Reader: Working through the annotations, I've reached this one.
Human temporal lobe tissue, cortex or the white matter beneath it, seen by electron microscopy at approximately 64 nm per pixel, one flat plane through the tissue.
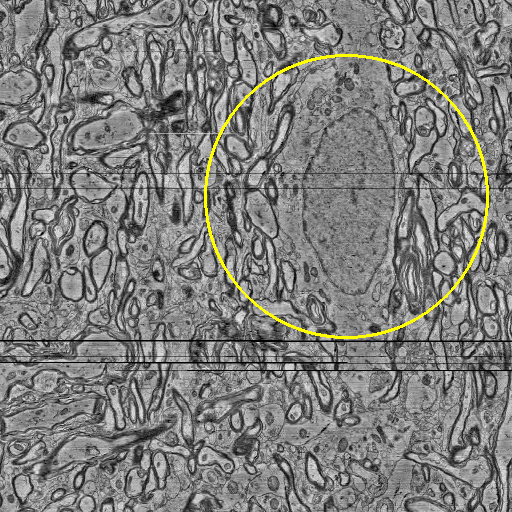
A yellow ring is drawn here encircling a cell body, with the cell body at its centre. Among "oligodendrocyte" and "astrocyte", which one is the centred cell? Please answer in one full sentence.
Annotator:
The cell body at the centre of the yellow ring in this image belongs to an astrocyte.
